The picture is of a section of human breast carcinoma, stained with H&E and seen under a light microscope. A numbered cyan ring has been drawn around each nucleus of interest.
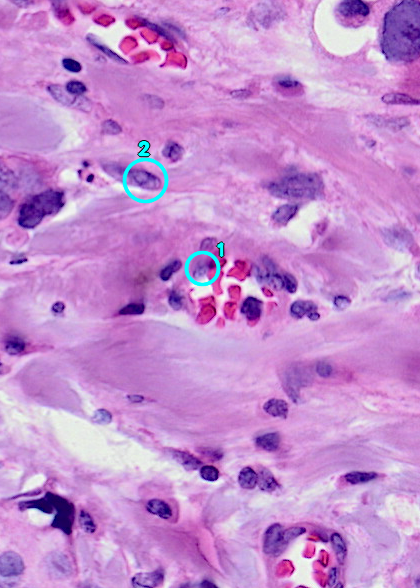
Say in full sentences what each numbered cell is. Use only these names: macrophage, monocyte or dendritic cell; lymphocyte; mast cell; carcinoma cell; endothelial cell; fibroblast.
Cell 1 is an endothelial cell and cell 2 is a fibroblast.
